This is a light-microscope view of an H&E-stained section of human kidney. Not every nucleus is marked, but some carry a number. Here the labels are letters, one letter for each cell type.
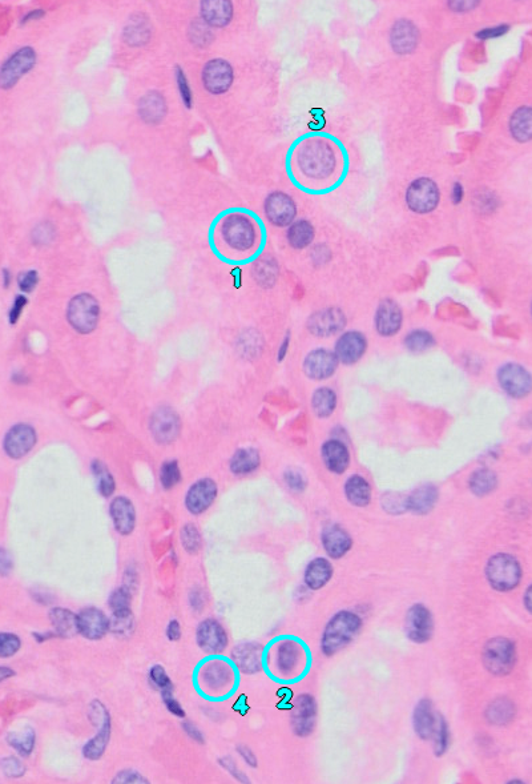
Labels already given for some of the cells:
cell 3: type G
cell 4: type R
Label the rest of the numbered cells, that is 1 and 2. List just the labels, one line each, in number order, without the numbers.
type G
type R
